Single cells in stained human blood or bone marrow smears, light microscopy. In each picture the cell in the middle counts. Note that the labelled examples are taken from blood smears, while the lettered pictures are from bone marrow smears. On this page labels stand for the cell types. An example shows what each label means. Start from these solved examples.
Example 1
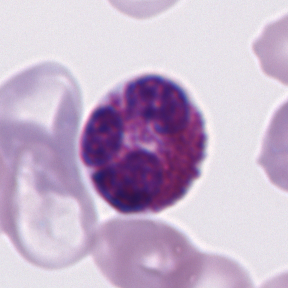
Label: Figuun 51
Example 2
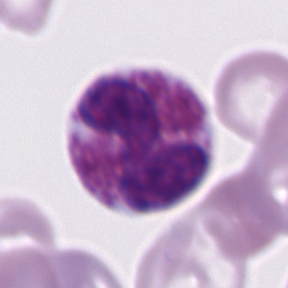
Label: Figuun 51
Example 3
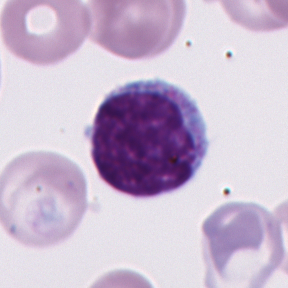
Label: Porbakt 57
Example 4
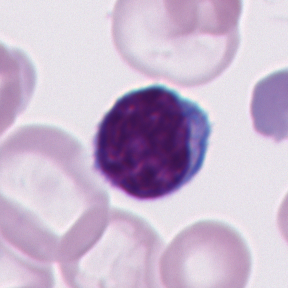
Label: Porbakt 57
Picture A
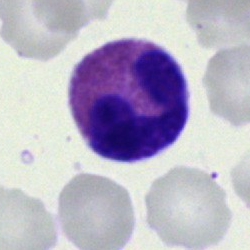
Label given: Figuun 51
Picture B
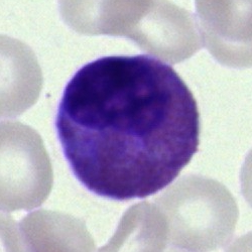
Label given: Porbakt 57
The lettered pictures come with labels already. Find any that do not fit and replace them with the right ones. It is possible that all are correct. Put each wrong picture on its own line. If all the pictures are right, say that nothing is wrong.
B is labelled Porbakt 57; correct label: Figuun 51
